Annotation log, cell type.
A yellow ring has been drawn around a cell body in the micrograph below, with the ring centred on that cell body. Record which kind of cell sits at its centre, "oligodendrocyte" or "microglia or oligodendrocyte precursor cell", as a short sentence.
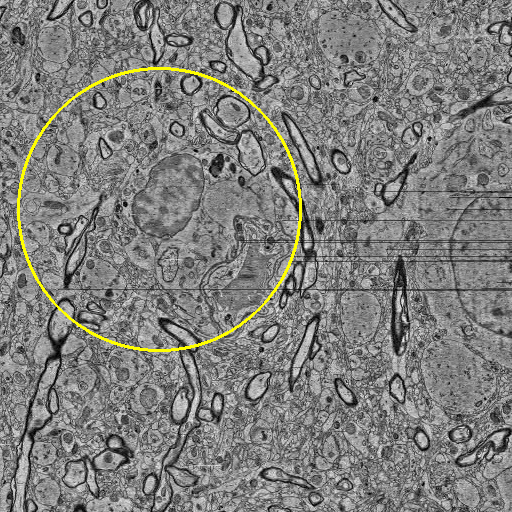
The cell at the centre of this ring is a microglial cell or oligodendrocyte precursor cell.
